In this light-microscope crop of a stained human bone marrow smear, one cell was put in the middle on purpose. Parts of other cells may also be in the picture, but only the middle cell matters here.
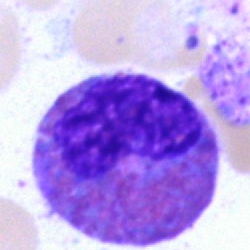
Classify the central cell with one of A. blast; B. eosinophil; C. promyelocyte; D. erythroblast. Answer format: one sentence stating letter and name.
The cell in the center of this crop is an eosinophil, so option B is the one to pick.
